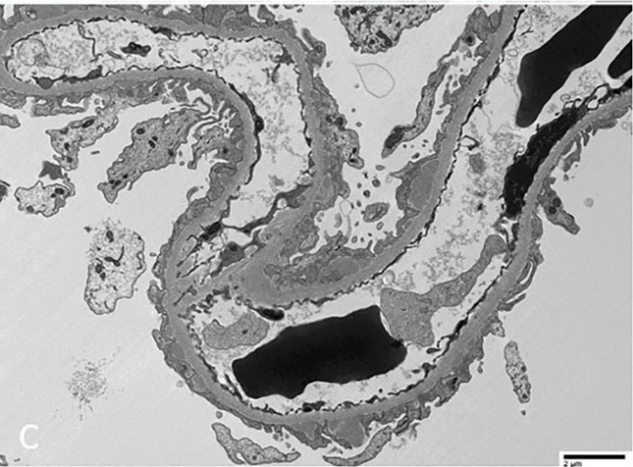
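This is a glomerular capillary loop at electron-microscope scale, with its basement membrane curving around a lumen that holds a dark red blood cell. Along the outer, urinary side of the basement membrane lie irregular dense deposits, unevenly spaced. The overlying podocyte cytoplasm spreads as a flat continuous layer rather than as separate foot processes. Endothelial cytoplasm lines the inner side of the loop.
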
